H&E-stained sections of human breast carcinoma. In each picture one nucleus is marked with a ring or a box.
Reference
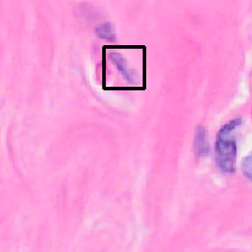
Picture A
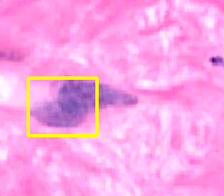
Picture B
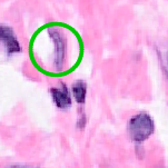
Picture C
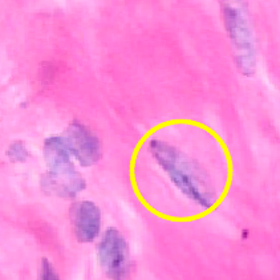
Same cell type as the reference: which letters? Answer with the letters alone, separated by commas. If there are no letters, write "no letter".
A, B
